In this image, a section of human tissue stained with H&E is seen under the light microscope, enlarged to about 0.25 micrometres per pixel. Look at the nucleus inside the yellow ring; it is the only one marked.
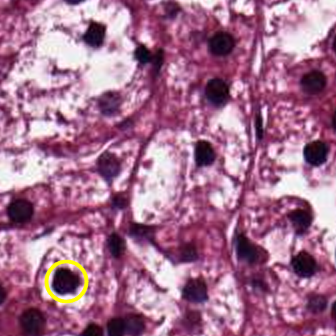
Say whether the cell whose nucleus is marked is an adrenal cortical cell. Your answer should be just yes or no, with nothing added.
yes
